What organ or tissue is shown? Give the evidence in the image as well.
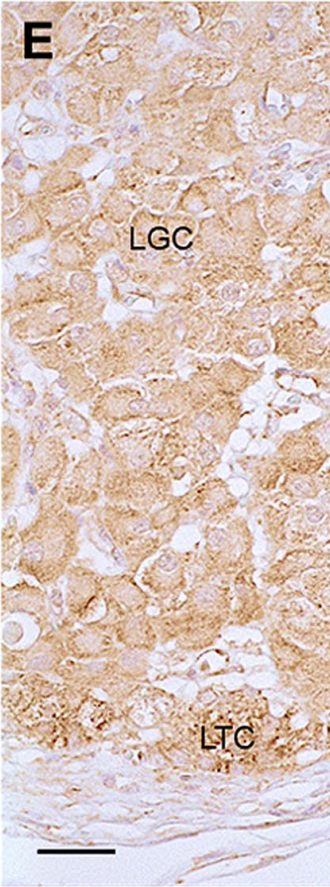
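Corpus luteum. Large polygonal cells with abundant granular cytoplasm and round nuclei fill the field. The large cells are arranged in cords separated by thin spaces and small vessels. A band of smaller, more intensely stained cells lies at the lower edge.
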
